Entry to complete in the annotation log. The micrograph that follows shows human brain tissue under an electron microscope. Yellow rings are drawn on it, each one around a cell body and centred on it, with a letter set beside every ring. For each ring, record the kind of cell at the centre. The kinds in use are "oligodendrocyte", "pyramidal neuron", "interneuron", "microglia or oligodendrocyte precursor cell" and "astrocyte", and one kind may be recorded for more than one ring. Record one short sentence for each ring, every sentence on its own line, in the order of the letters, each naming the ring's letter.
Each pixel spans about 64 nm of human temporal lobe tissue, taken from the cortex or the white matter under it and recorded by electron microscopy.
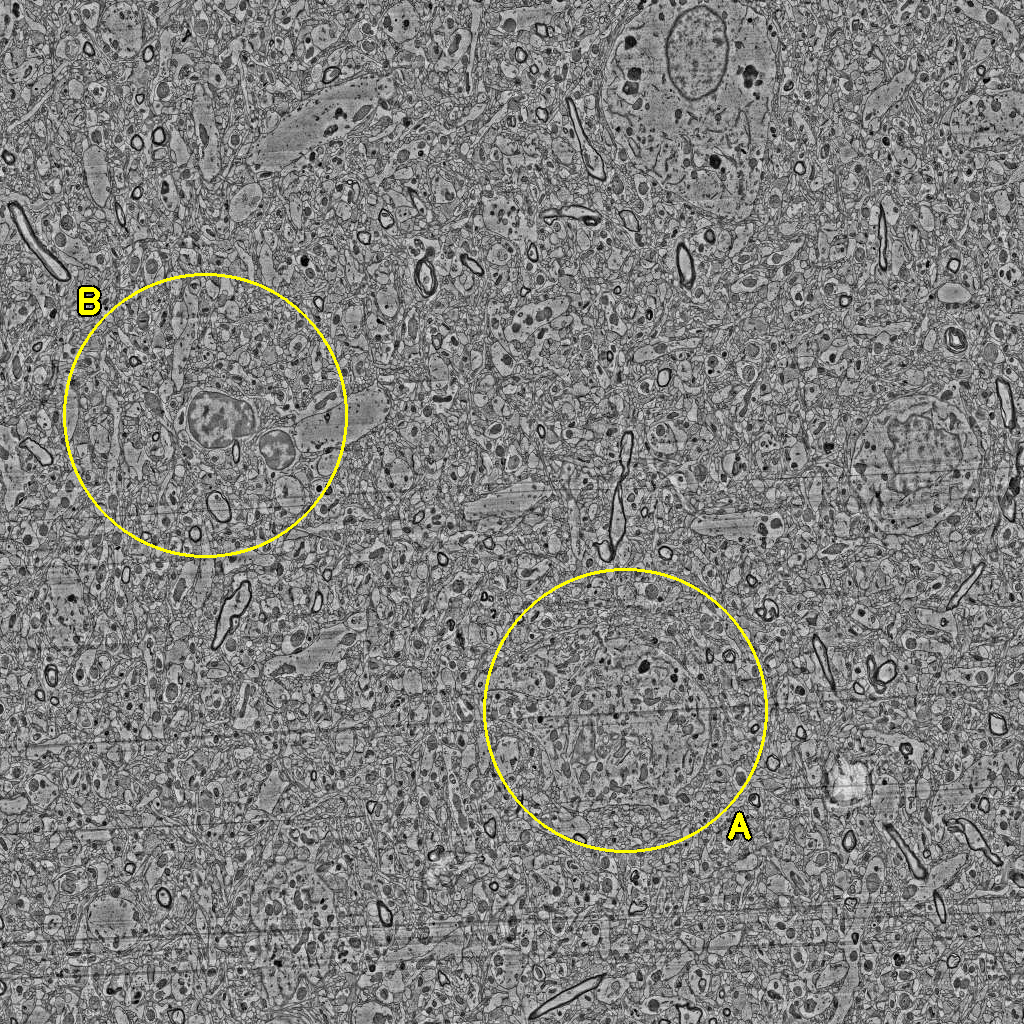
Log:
Ring A is placed around an interneuron.
Ring B is placed around a microglial cell or oligodendrocyte precursor cell.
